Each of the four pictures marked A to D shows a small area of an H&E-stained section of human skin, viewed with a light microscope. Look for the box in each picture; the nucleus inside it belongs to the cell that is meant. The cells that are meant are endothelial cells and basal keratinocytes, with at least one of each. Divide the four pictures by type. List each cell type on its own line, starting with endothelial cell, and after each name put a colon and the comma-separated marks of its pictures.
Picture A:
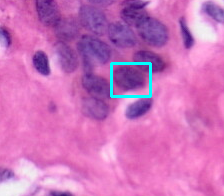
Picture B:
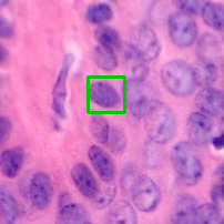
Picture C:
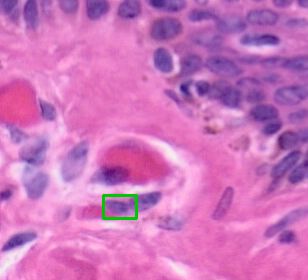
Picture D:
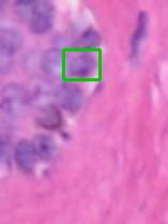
endothelial cell: C
basal keratinocyte: A, B, D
